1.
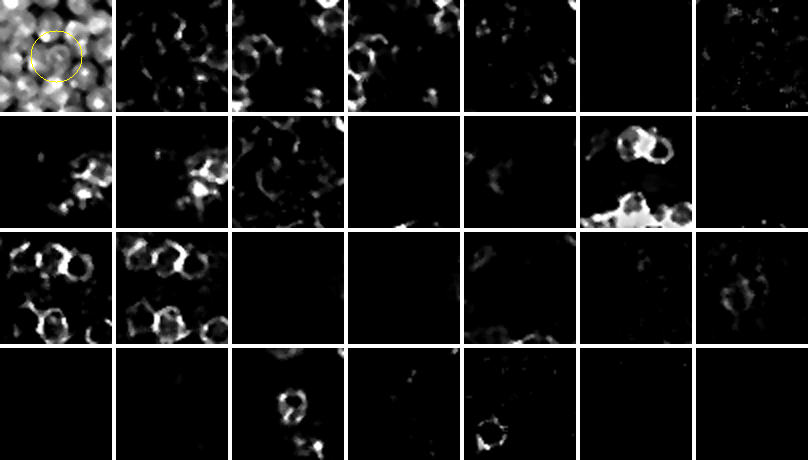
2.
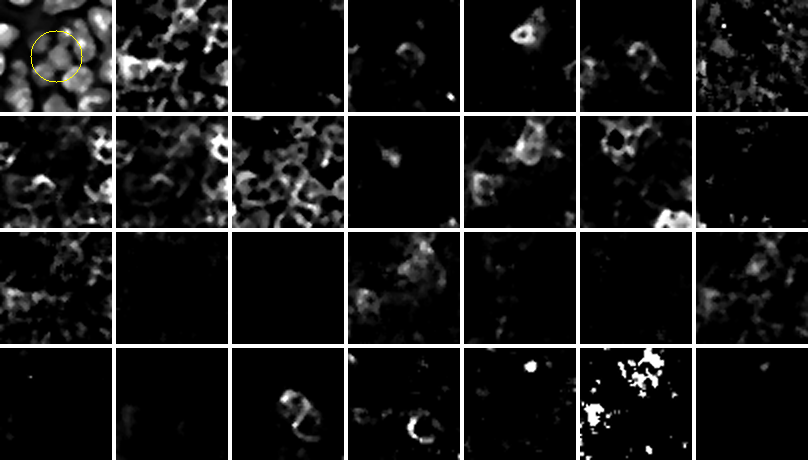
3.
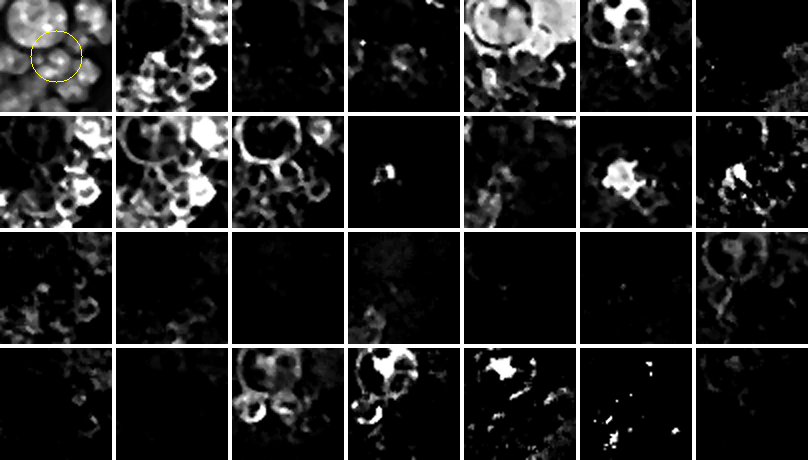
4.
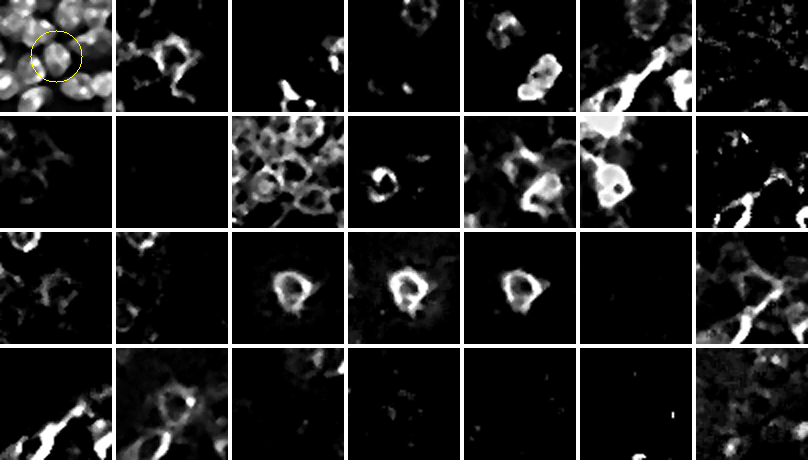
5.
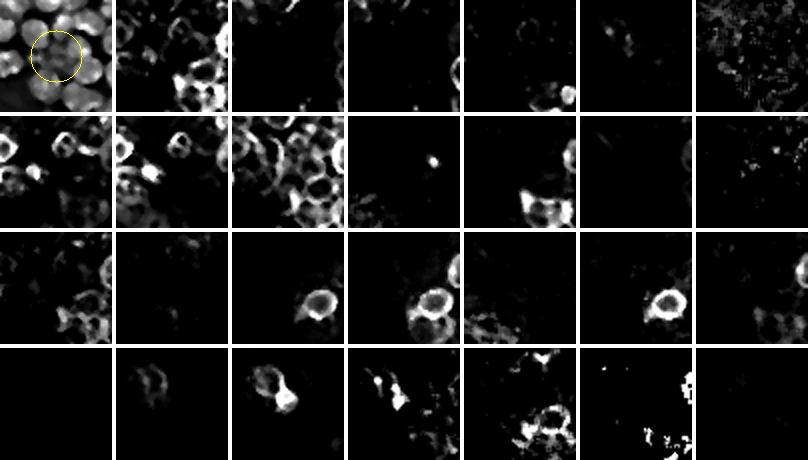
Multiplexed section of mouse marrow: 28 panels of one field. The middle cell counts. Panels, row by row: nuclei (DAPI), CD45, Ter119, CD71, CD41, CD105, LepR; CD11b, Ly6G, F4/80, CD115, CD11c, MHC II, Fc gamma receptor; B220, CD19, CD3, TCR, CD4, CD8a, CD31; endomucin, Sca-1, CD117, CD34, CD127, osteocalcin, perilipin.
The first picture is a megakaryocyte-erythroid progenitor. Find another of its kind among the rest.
Picture 2.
